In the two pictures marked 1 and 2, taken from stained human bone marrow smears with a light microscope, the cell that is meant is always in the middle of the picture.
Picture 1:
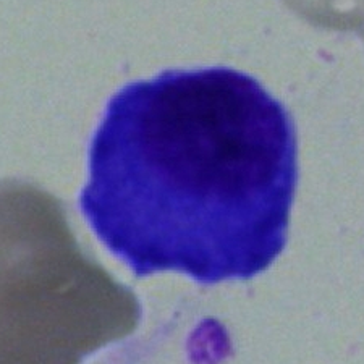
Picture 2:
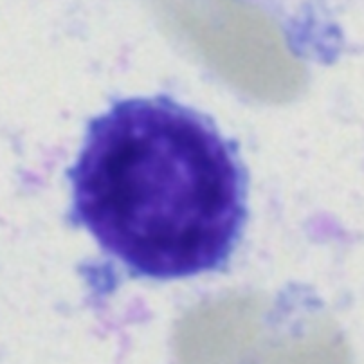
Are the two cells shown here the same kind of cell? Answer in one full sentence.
No. Picture 1 shows a plasma cell, but picture 2 shows a lymphocyte.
